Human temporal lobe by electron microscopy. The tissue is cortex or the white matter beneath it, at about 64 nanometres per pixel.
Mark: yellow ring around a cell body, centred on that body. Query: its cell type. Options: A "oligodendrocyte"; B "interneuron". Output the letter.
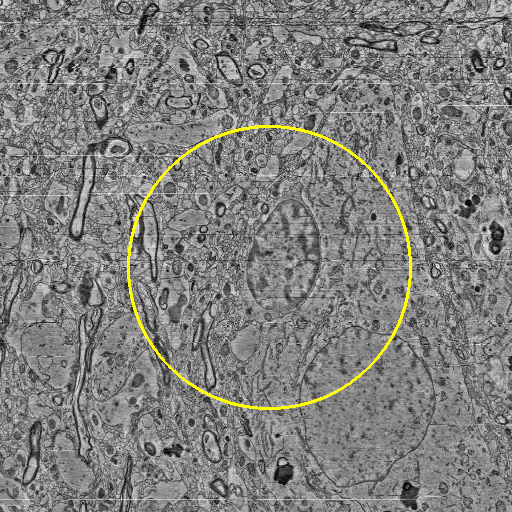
A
